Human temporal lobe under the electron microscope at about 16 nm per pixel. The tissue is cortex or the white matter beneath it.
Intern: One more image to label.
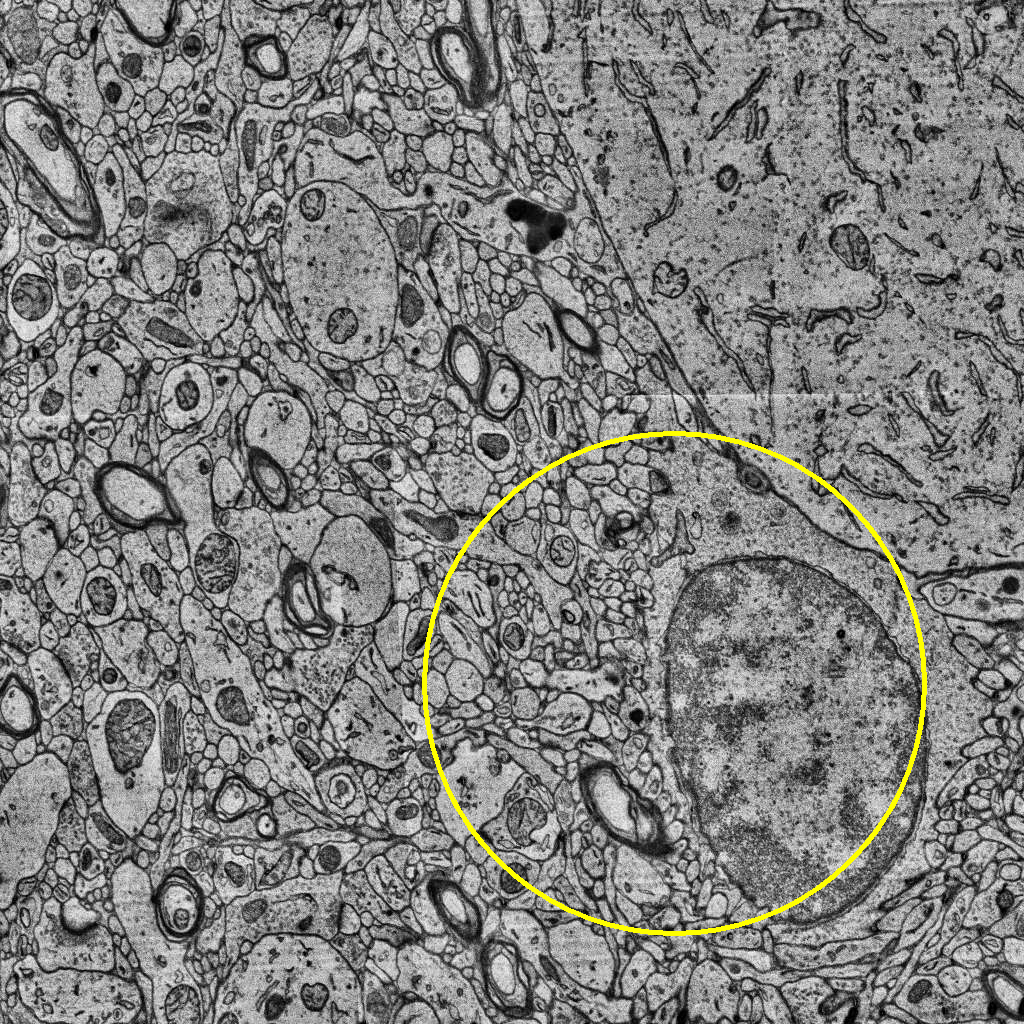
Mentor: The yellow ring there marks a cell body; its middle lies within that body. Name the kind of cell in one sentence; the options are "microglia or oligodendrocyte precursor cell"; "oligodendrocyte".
The ring marks the cell body of an oligodendrocyte.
